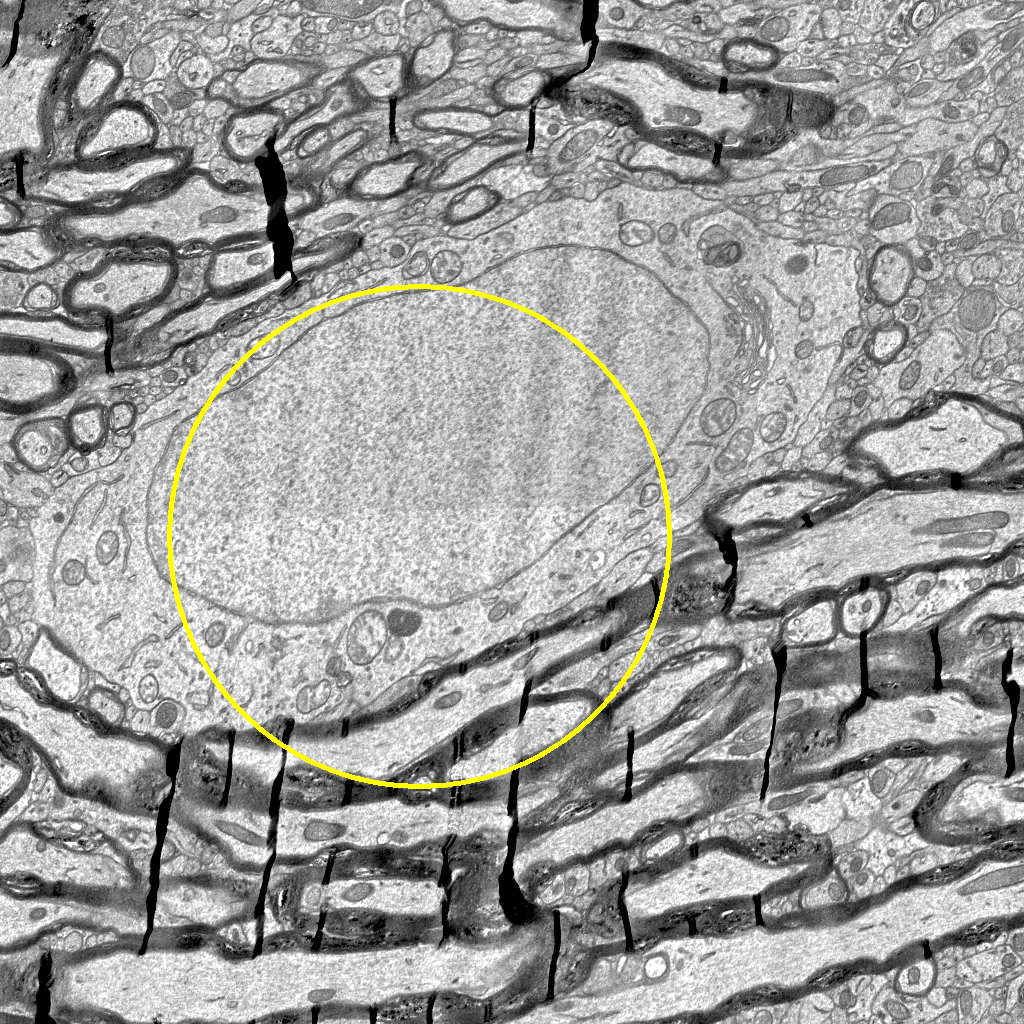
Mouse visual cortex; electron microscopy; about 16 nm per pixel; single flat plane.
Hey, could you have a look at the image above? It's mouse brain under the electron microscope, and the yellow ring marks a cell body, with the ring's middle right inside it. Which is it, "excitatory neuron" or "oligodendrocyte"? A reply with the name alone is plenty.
excitatory neuron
